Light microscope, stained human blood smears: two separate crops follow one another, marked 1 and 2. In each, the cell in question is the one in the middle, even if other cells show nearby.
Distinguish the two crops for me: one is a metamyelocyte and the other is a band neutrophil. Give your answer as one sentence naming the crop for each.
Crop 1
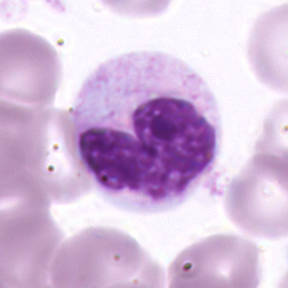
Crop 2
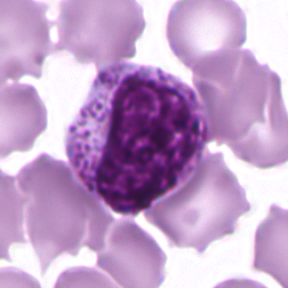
Crops 1 and 2 are, respectively, a band neutrophil and a metamyelocyte.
